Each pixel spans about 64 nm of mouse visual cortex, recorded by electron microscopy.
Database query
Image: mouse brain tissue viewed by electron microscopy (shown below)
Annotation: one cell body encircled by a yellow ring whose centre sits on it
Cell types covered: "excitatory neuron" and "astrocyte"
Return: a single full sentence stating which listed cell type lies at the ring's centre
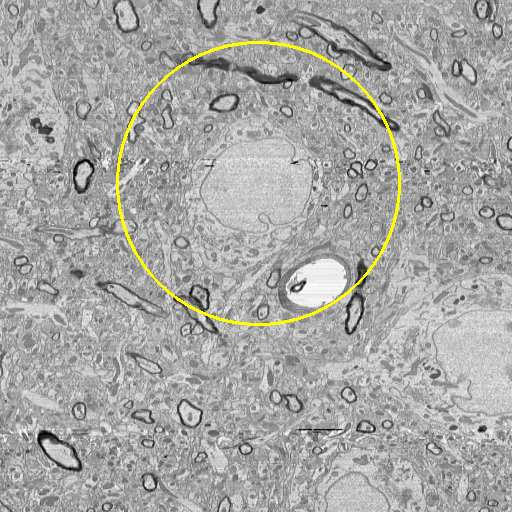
In the image, the cell lying at the ring's centre is an excitatory neuron.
